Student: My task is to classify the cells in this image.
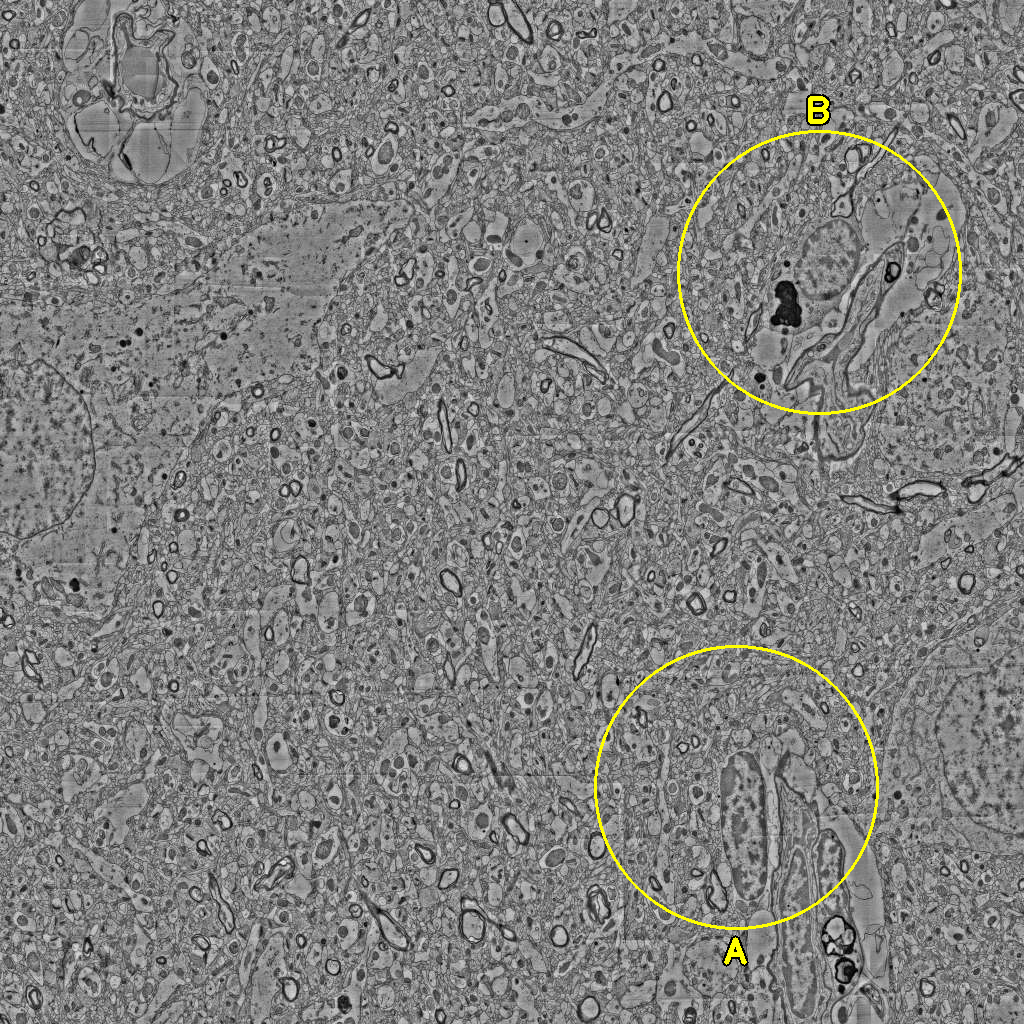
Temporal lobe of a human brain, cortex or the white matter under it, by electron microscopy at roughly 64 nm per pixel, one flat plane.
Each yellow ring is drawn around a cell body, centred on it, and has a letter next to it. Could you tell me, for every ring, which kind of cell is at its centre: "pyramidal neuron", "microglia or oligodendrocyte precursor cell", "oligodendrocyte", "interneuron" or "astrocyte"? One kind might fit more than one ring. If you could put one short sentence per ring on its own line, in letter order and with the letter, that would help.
Ring A's central cell is a microglial cell or oligodendrocyte precursor cell.
Ring B's central cell is an oligodendrocyte.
